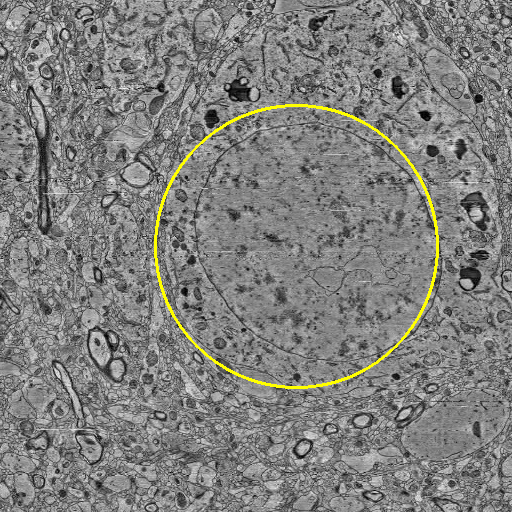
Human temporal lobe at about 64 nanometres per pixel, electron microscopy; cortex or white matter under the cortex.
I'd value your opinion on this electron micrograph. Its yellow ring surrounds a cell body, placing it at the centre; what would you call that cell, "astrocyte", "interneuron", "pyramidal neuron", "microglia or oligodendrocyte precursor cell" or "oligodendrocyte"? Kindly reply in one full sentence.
It is a pyramidal neuron that sits centred within the yellow ring in this micrograph.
